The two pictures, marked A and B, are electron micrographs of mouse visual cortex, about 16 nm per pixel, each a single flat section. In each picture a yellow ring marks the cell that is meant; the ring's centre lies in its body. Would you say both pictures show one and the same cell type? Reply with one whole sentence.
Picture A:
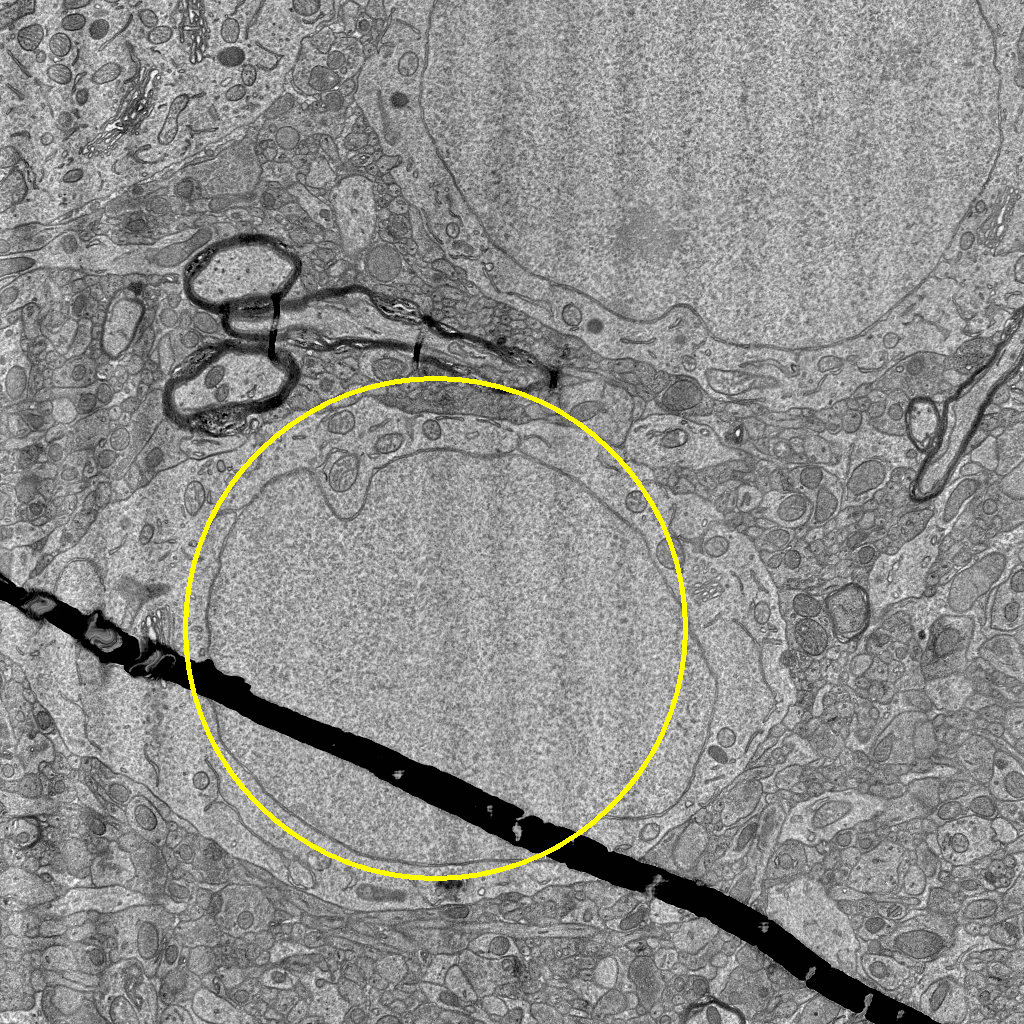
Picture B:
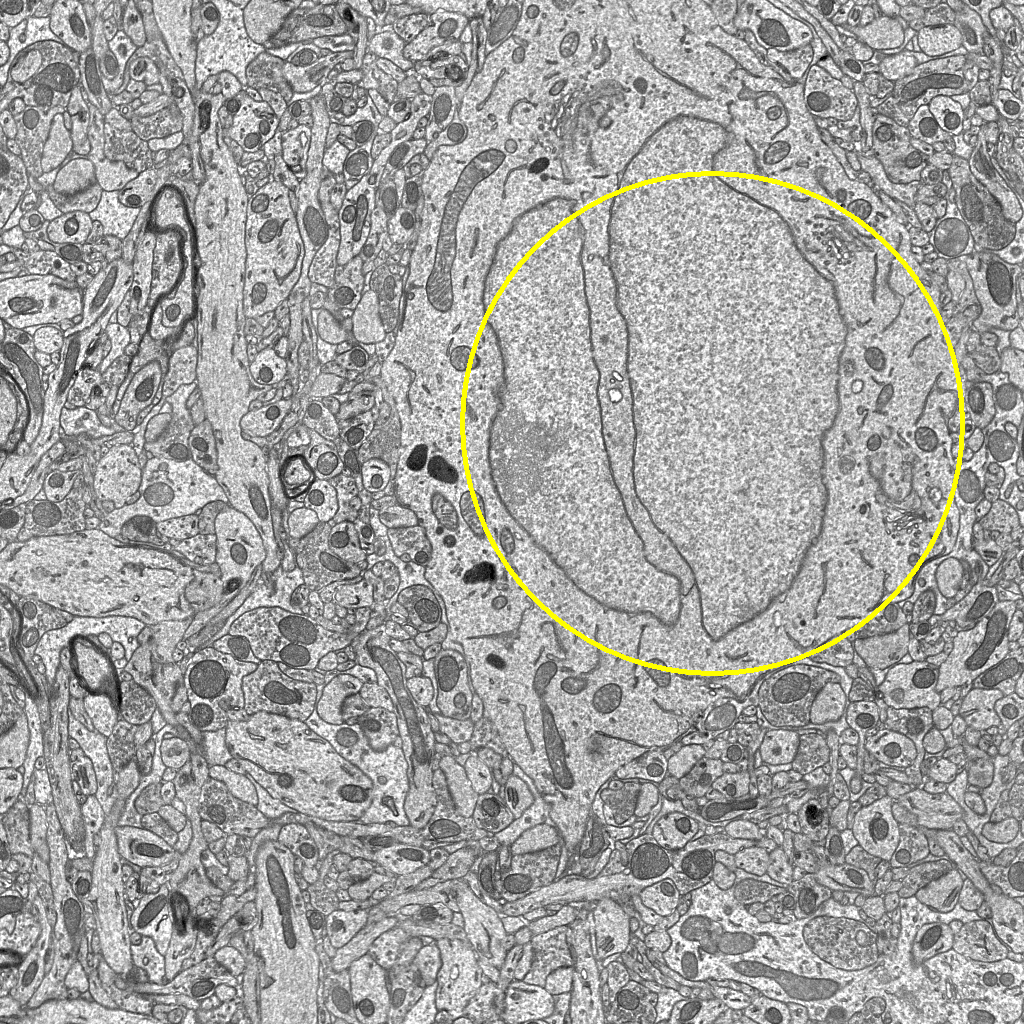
Yes; the cells in both pictures are excitatory neurons.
